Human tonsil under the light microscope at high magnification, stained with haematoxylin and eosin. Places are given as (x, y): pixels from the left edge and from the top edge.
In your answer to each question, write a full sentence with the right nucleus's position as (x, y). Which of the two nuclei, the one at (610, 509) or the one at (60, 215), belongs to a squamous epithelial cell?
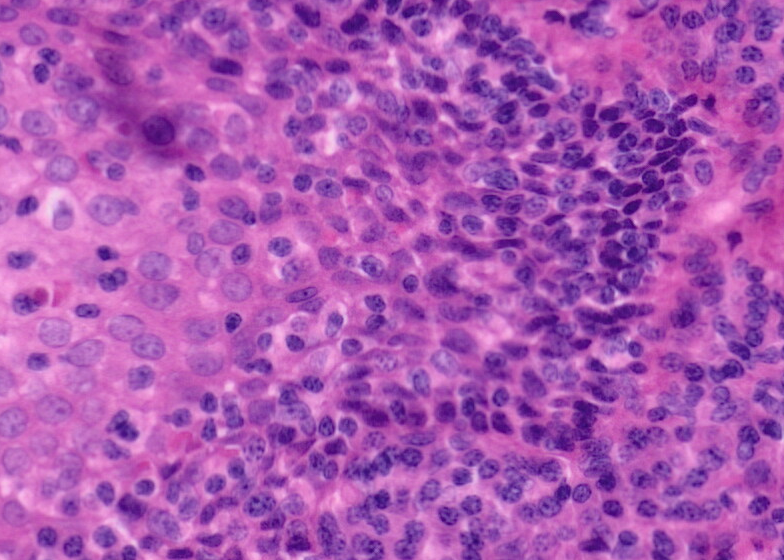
That would be the nucleus at (60, 215); it belongs to a squamous epithelial cell.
